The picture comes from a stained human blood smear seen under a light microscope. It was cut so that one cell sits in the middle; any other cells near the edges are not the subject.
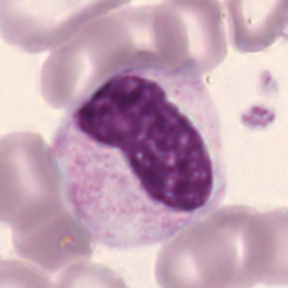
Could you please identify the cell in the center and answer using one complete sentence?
Looking at the middle of the crop, the cell there is a metamyelocyte.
